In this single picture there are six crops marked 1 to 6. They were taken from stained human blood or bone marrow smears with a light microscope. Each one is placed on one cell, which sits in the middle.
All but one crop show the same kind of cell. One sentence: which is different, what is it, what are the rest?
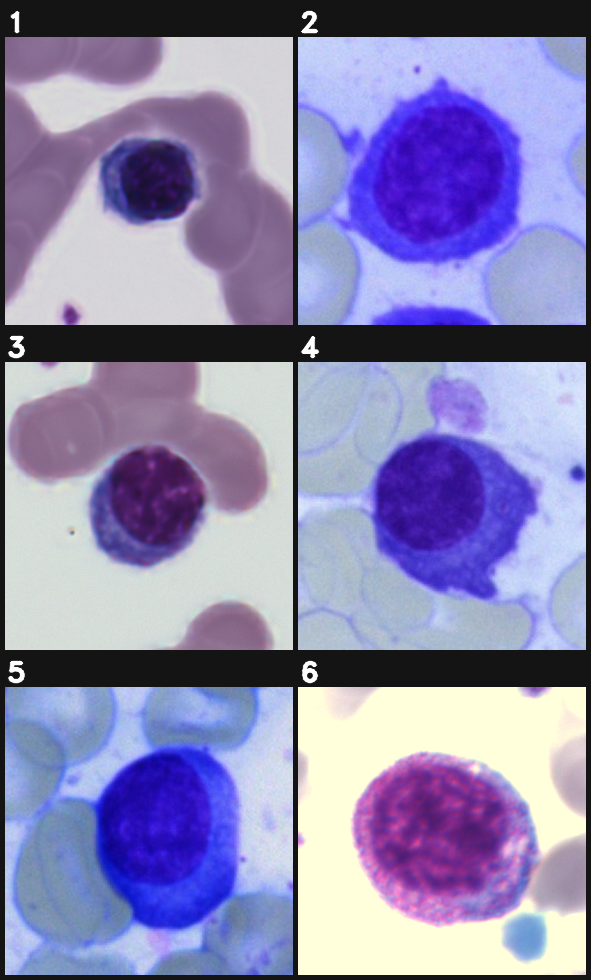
Crop 6 is the exception in this set, showing a promyelocyte while the others show plasma cells.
